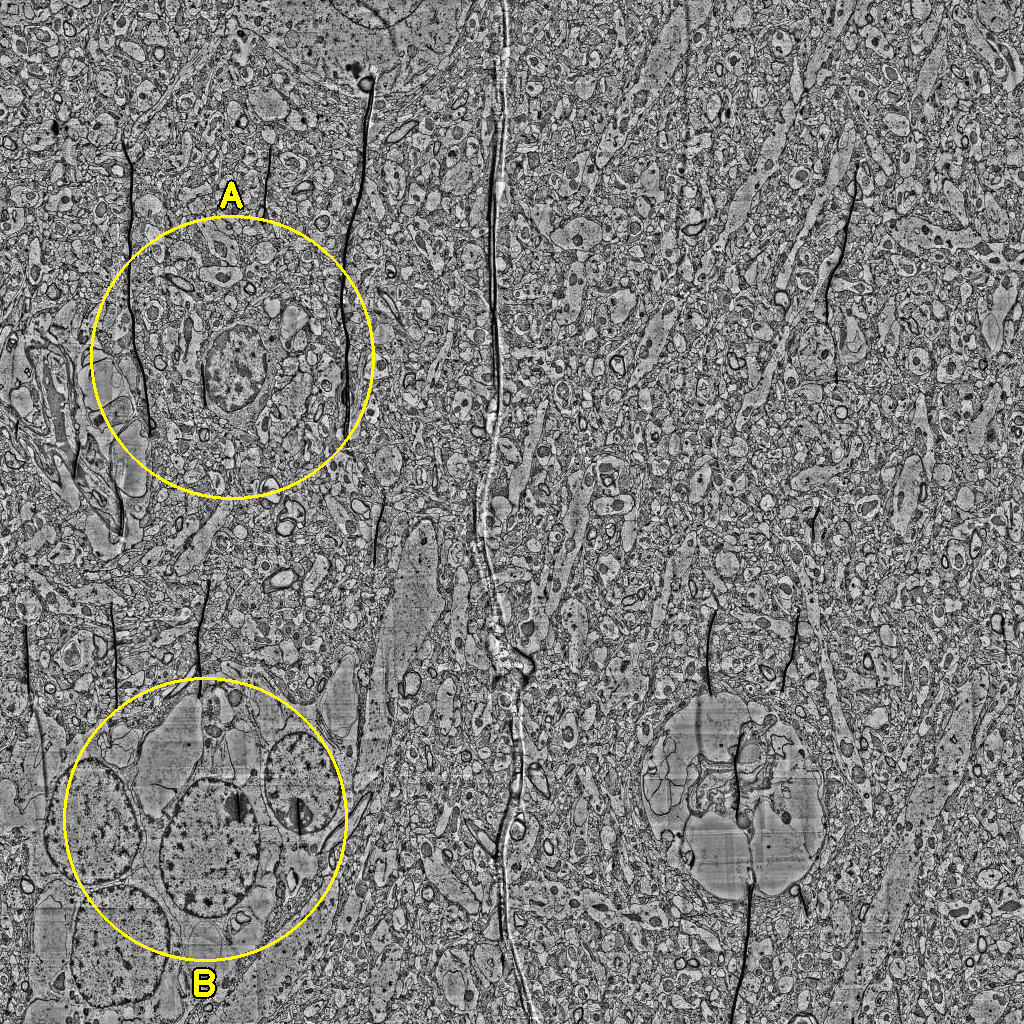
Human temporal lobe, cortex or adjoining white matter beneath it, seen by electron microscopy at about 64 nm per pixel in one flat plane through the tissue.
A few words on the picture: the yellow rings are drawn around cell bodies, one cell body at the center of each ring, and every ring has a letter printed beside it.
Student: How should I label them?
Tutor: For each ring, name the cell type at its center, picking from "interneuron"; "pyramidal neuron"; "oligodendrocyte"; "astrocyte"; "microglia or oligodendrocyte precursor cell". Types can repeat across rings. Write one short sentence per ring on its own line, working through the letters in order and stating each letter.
In ring A, the central cell is an oligodendrocyte.
In ring B, the central cell is an astrocyte.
